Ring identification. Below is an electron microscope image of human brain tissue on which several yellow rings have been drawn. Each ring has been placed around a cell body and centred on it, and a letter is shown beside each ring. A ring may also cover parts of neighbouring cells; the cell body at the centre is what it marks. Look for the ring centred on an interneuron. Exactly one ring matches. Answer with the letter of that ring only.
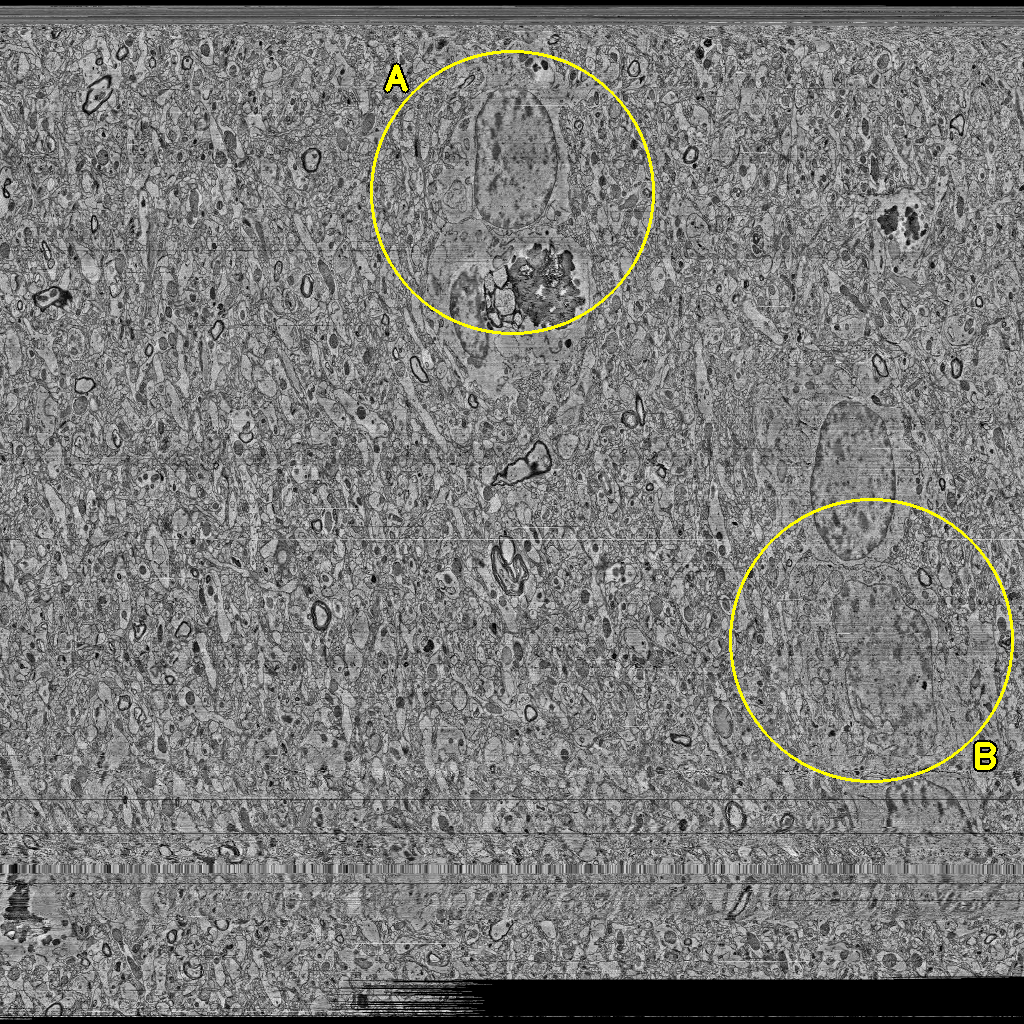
B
